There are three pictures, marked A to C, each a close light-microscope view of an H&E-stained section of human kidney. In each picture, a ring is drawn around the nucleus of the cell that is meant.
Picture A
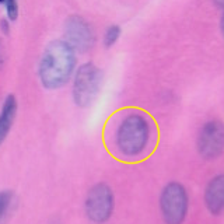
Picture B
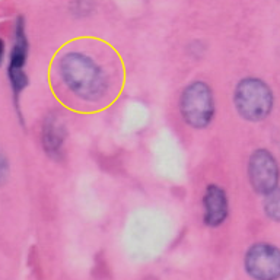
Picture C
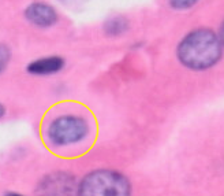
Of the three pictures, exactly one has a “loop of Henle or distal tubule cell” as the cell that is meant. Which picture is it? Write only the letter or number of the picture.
C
